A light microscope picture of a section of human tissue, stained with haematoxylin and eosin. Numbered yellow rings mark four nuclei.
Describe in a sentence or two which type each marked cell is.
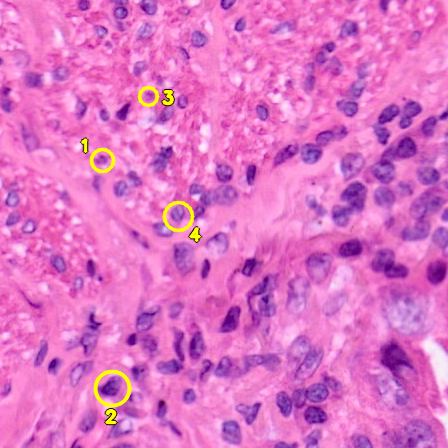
Cell 1 is a smooth muscle cell or pericyte, cell 2 is a lymphocyte, cell 3 is a smooth muscle cell or pericyte and cell 4 is a smooth muscle cell or pericyte.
